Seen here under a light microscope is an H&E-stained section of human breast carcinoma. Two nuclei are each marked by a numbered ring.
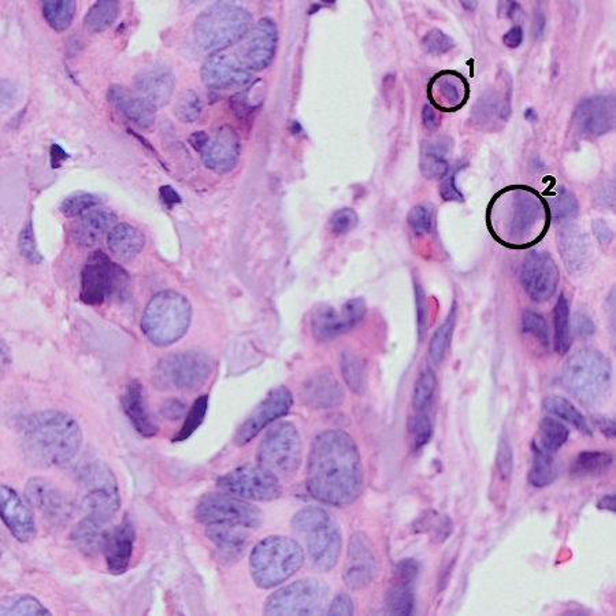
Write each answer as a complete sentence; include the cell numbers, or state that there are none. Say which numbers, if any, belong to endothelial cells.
The nucleus numbered 1 is the only one that belongs to an endothelial cell.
